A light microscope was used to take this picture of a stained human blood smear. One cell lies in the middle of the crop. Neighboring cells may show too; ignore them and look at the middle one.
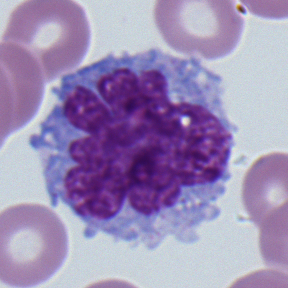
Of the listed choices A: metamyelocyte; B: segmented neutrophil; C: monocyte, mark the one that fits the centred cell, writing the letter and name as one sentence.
The cell placed in the middle is a monocyte; option C is correct.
